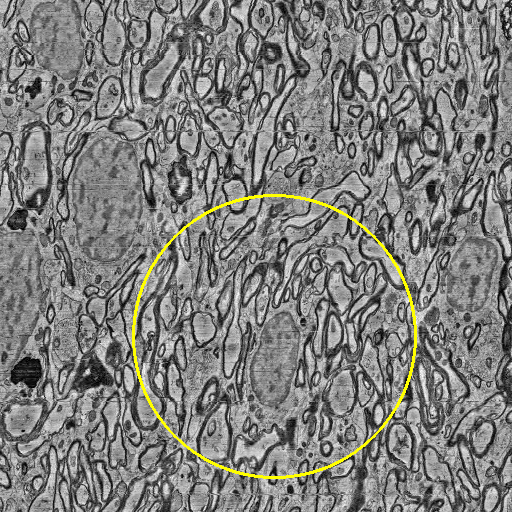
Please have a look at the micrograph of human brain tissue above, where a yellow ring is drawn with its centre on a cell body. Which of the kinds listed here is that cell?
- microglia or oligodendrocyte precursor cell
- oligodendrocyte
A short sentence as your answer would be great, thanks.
At the centre of the ring sits an oligodendrocyte.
